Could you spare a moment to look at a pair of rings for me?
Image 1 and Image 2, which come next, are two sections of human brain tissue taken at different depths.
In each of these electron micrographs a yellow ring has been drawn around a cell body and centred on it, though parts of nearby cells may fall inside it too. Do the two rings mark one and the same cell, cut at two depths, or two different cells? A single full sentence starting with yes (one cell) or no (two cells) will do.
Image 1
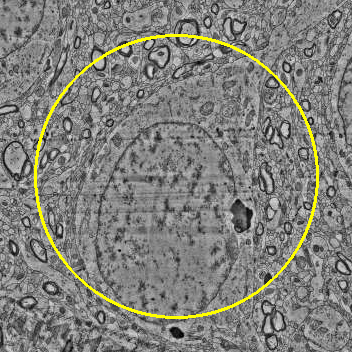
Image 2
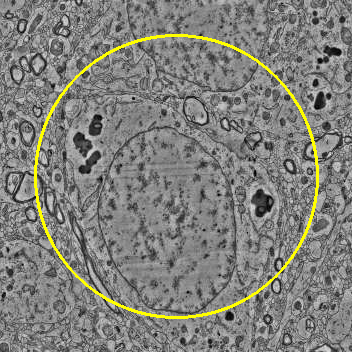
No, one ring marks one cell and the other ring marks another.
